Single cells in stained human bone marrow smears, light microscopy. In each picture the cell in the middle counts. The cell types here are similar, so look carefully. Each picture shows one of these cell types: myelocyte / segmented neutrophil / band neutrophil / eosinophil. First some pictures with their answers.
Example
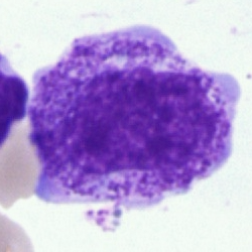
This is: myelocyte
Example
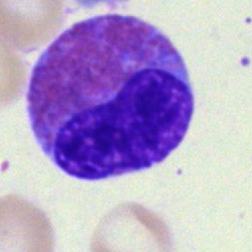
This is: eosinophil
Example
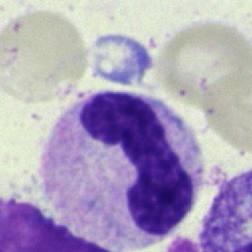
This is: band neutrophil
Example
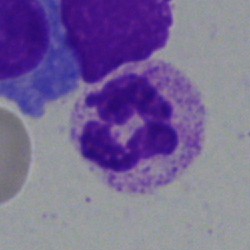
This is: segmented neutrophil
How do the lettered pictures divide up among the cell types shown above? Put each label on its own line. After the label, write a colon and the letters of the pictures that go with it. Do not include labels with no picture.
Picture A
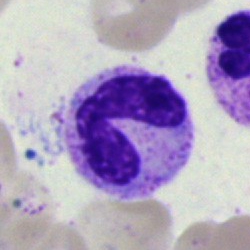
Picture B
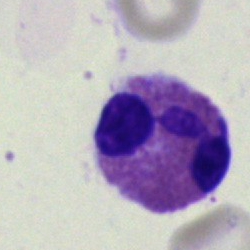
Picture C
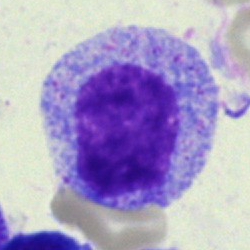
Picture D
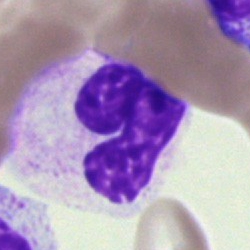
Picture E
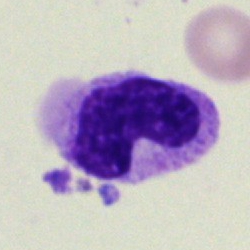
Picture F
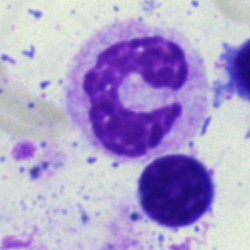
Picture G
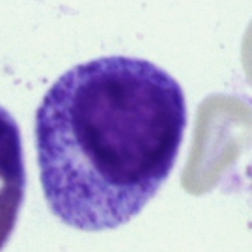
myelocyte: C, G
band neutrophil: A, D, E, F
eosinophil: B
